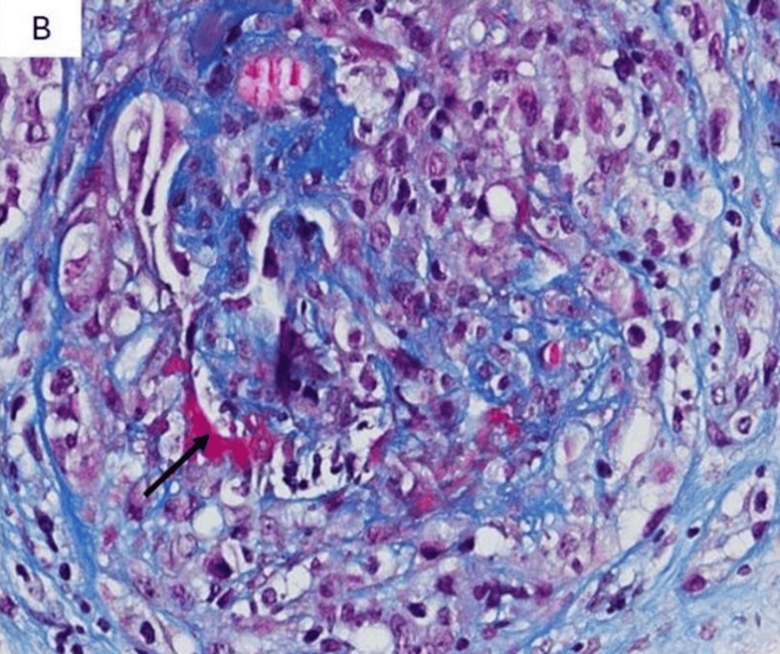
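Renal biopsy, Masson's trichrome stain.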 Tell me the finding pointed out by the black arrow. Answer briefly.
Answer: Fibrinoid necrosis.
